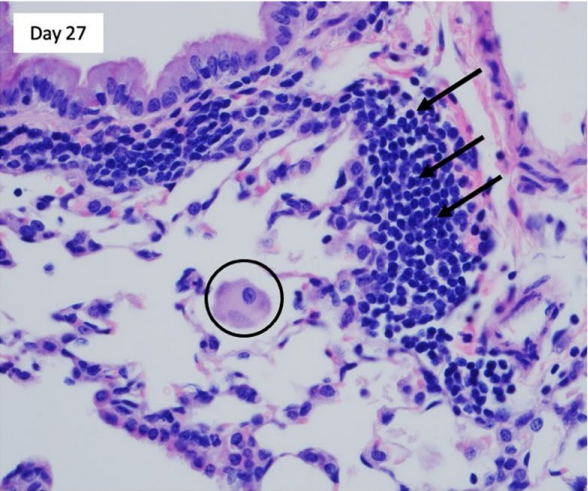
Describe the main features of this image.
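This lung tissue shows a large, densely packed aggregate of lymphocytes, small cells with round dark-purple nuclei and scant cytoplasm, lying beside an airway lined by columnar epithelium, with more of these cells spread along the airway wall. Within a nearby alveolar space lies a single enlarged macrophage with abundant pale cytoplasm and a round nucleus. The surrounding alveolar septa are thin and the air spaces largely open.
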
